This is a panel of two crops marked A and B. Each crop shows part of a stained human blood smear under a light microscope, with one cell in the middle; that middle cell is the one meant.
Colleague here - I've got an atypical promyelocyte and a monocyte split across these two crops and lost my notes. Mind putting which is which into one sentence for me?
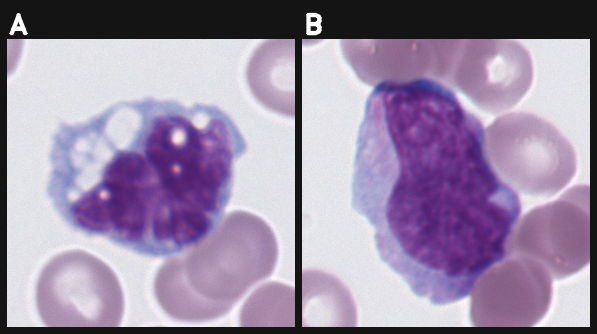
In this set, crop A shows a monocyte and crop B shows an atypical promyelocyte.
